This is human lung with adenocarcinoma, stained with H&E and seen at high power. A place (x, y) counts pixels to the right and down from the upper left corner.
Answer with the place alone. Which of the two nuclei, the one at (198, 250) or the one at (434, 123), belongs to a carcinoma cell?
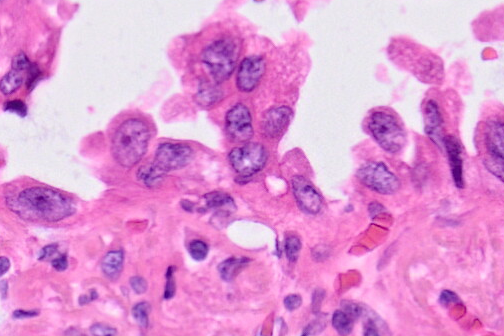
(434, 123)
